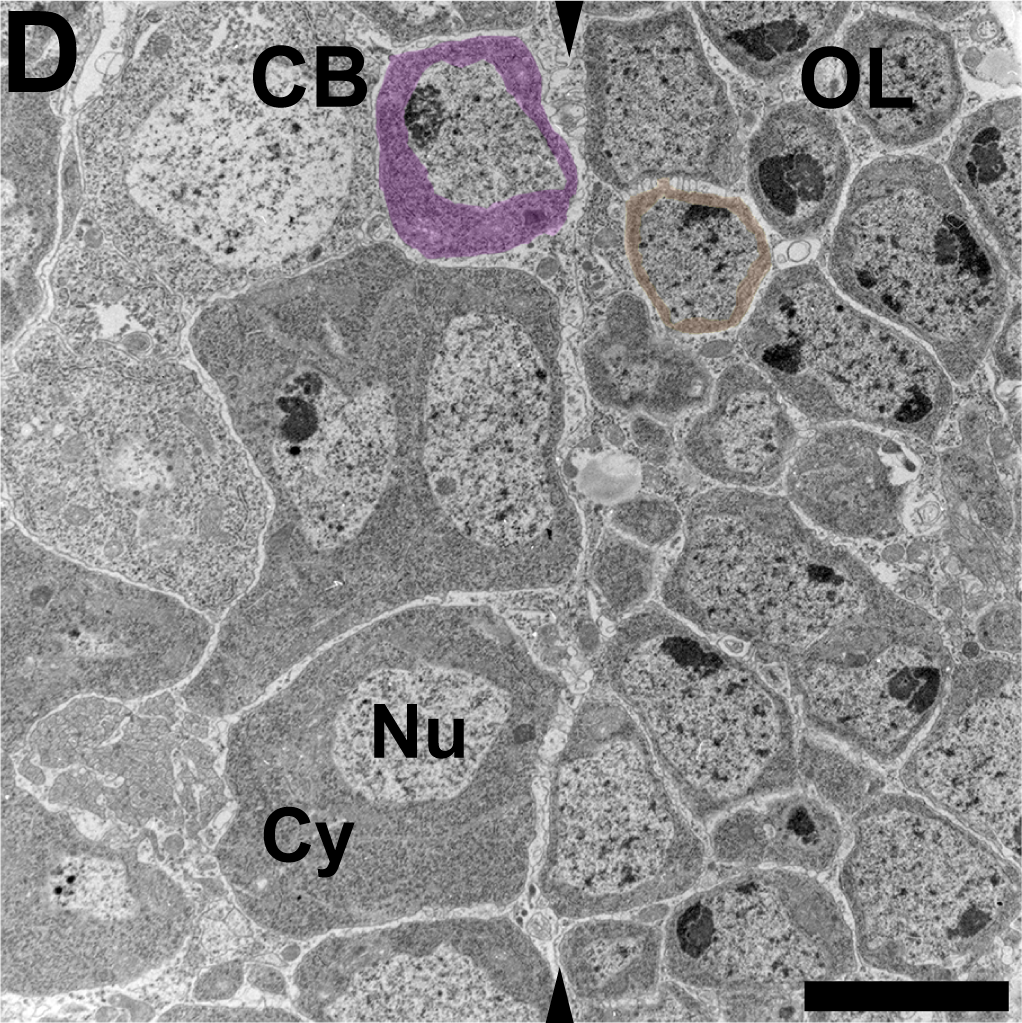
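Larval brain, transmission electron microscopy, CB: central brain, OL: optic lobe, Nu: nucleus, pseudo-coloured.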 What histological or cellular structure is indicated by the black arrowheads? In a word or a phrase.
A: boundary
